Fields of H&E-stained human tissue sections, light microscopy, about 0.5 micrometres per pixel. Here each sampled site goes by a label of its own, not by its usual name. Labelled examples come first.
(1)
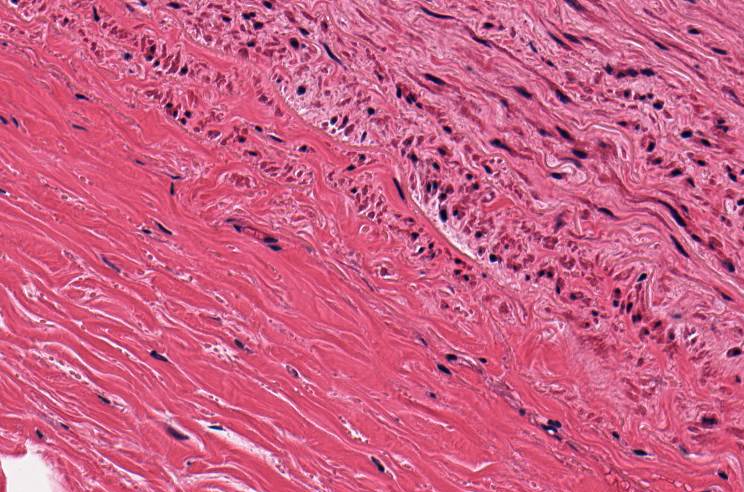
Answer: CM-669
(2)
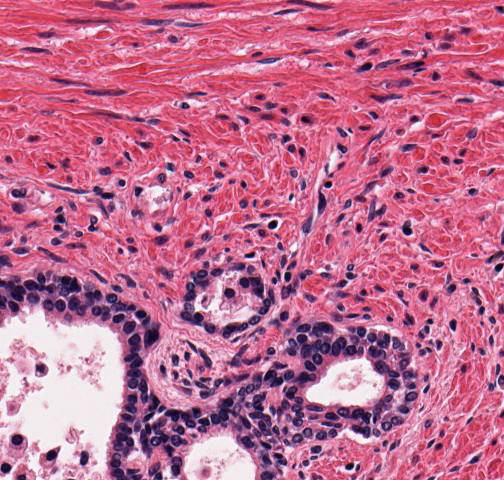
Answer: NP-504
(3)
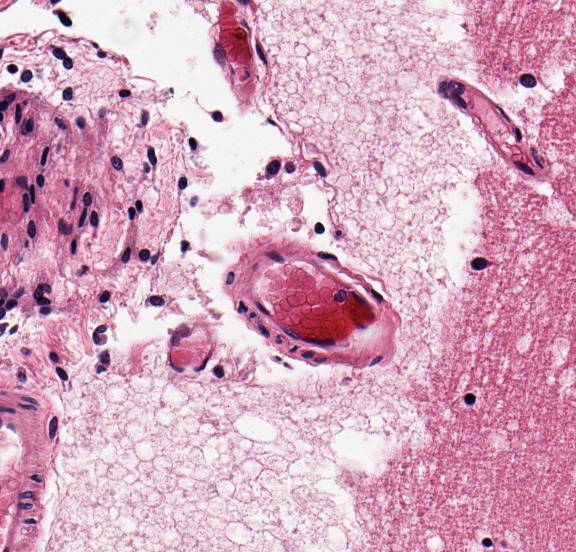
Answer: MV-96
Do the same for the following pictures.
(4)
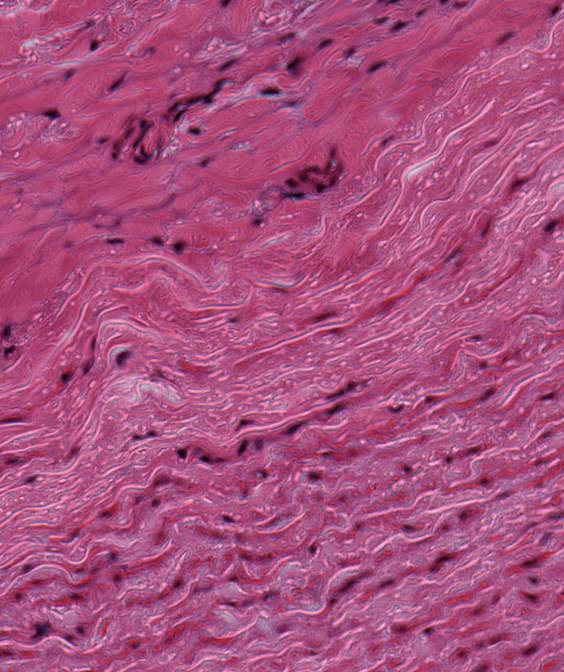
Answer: CM-669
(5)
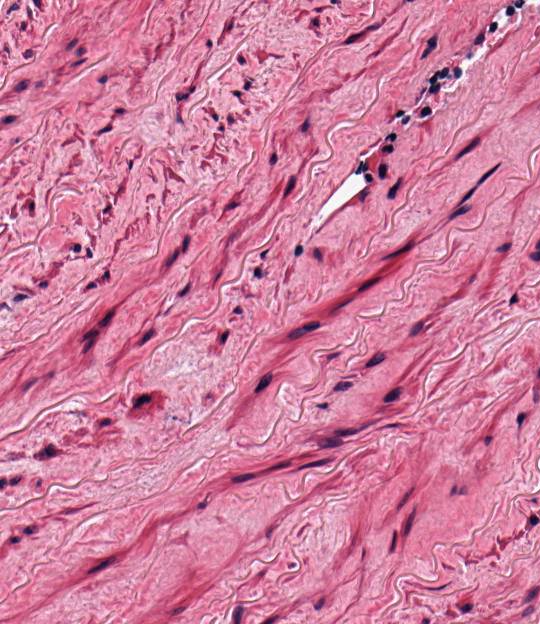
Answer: CM-669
